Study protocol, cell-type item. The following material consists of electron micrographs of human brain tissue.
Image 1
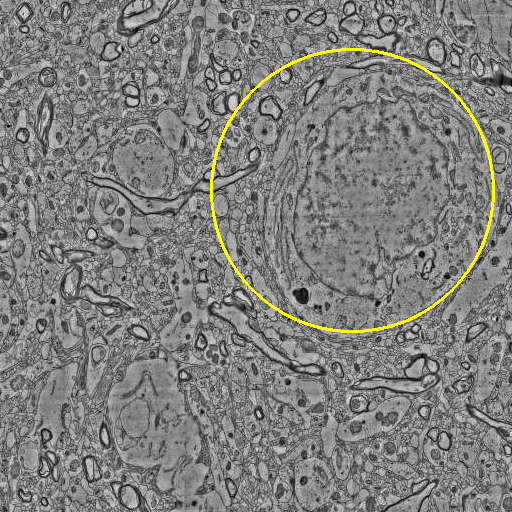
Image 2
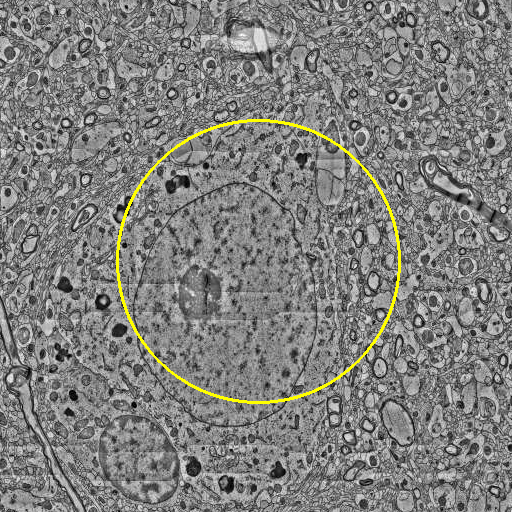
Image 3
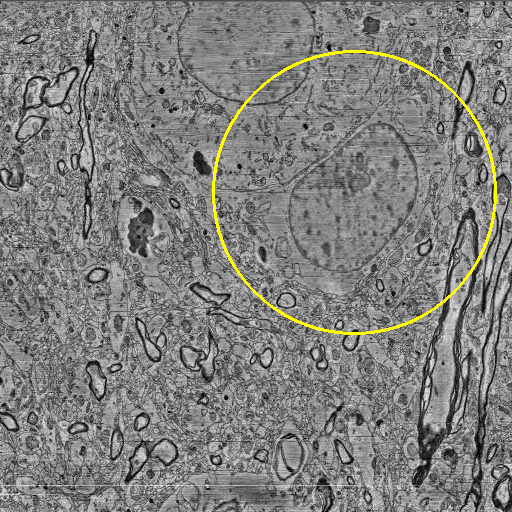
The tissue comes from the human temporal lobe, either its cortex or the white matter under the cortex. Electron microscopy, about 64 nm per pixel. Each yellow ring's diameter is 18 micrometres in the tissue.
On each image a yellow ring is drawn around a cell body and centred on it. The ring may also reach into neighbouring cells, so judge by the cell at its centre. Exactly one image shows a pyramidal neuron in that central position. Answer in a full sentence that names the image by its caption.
The cell at the centre of the ring in Image 2 is of that kind.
